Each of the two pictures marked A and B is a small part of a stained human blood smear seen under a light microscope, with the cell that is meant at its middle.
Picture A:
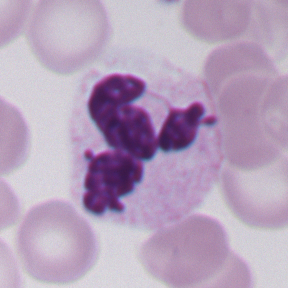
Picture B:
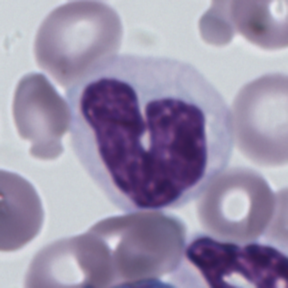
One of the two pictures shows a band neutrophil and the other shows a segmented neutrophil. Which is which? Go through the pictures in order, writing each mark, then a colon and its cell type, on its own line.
A: segmented neutrophil
B: band neutrophil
